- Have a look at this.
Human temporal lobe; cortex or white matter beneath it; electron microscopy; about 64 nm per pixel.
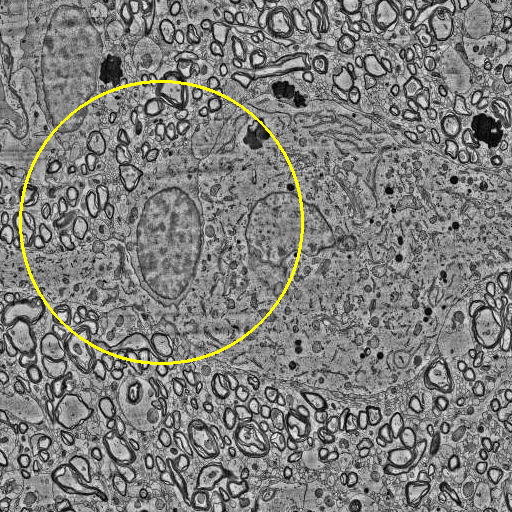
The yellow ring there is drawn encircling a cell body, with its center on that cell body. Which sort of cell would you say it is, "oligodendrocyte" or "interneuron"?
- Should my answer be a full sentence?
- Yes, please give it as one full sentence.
For this picture, an oligodendrocyte is the cell where the yellow ring has its center.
